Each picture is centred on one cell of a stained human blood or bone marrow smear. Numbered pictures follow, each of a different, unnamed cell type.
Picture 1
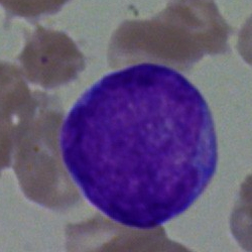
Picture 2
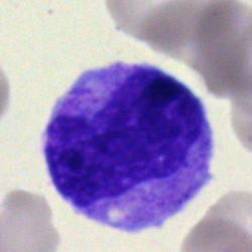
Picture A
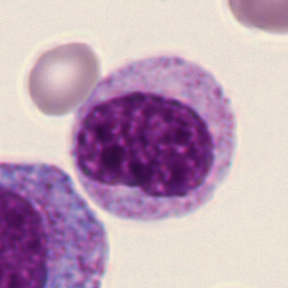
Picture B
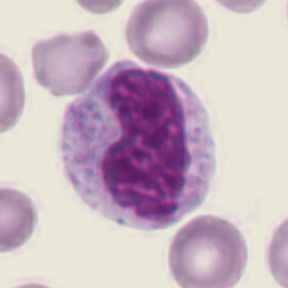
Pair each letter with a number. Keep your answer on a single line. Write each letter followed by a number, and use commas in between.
A 2, B 2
